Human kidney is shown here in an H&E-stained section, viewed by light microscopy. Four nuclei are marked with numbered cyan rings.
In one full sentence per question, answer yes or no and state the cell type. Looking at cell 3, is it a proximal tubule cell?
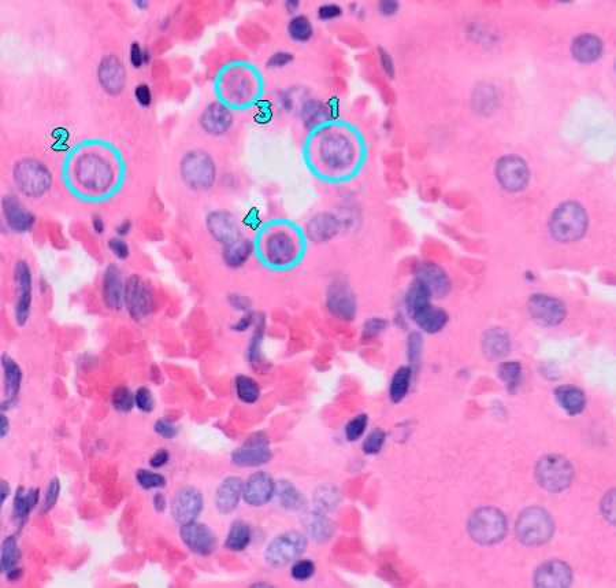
No, cell 3 is not a proximal tubule cell, but is instead a collecting duct cell.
